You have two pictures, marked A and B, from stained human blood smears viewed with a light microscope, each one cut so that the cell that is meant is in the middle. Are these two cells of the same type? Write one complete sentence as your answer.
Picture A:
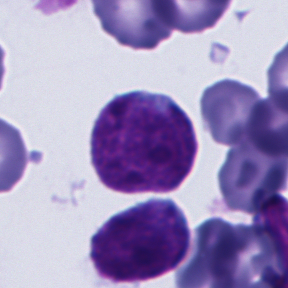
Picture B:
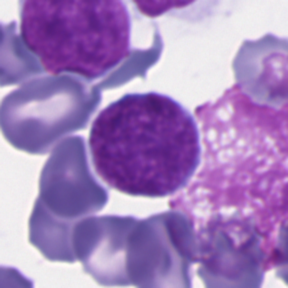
Yes; the cells in both pictures are myeloblasts.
